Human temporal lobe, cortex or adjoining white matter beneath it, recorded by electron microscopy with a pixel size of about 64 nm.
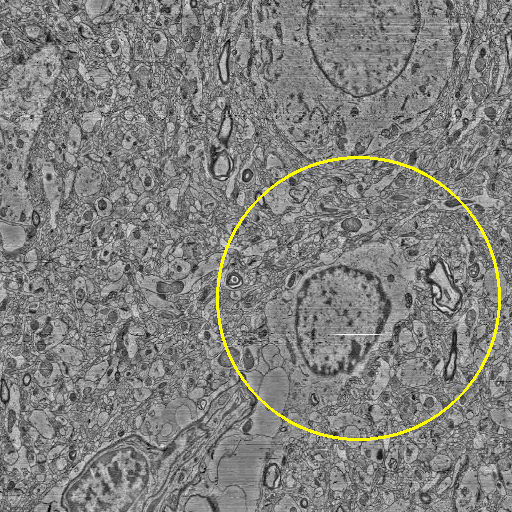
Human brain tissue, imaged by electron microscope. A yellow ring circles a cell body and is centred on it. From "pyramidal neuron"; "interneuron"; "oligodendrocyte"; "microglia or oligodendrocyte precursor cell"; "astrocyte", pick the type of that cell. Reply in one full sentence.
The cell body at the centre of the yellow ring belongs to a microglial cell or oligodendrocyte precursor cell.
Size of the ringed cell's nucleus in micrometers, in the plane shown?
In this plane the nucleus measures roughly 7 by 6 micrometres.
